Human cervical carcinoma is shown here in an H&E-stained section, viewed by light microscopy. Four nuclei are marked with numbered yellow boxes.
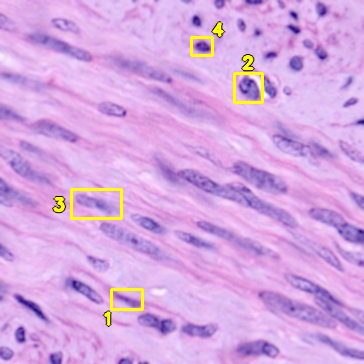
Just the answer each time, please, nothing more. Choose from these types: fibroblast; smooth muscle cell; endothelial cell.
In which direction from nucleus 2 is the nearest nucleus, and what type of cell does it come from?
an endothelial cell, to the right of nucleus 2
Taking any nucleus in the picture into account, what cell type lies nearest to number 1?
smooth muscle cell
